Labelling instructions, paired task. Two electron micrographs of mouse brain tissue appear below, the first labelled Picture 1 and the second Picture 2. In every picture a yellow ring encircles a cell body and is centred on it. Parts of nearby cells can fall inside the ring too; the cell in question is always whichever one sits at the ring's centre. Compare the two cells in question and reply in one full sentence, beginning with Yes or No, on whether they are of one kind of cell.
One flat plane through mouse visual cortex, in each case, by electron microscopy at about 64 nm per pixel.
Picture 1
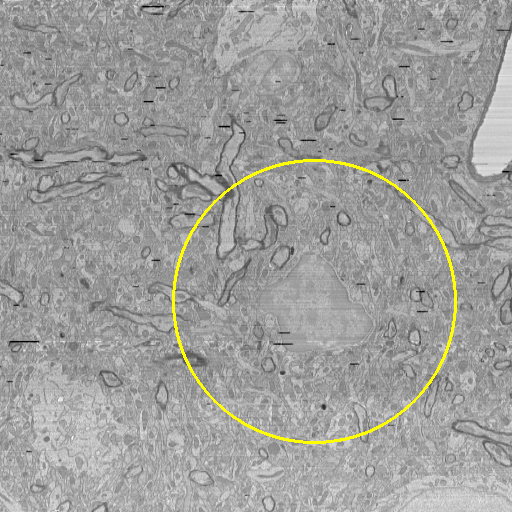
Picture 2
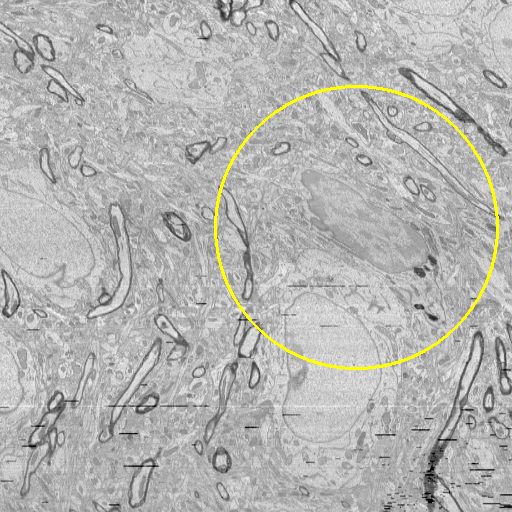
Yes, the two cells at the ring centres in Picture 1 and Picture 2 are of one kind.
